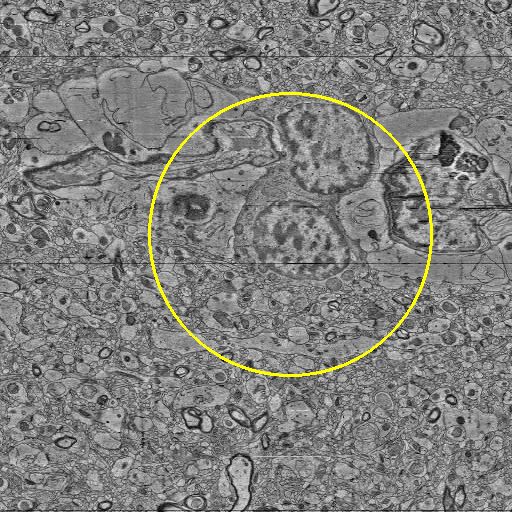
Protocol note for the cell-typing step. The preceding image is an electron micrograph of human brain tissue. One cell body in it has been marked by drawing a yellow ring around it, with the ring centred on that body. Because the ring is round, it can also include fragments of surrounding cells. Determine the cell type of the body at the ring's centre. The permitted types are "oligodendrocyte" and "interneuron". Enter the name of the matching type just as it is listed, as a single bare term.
oligodendrocyte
